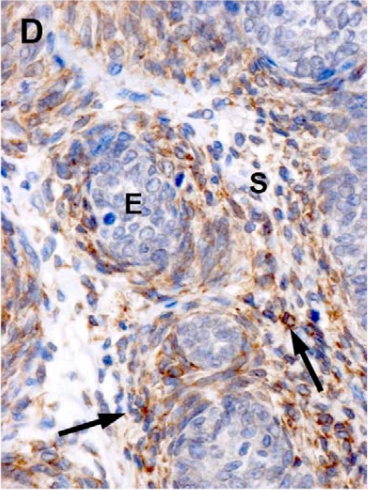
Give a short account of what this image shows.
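Around each cord the stromal cells are elongated and spindle-shaped, wrapped in concentric layers, and many of them carry brown staining. The epithelial cells of the cords themselves stay blue.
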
